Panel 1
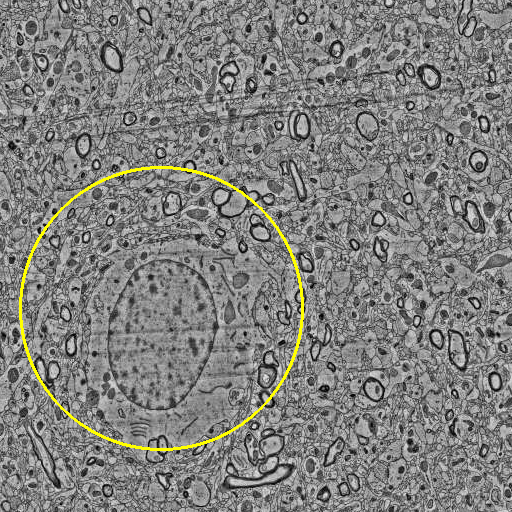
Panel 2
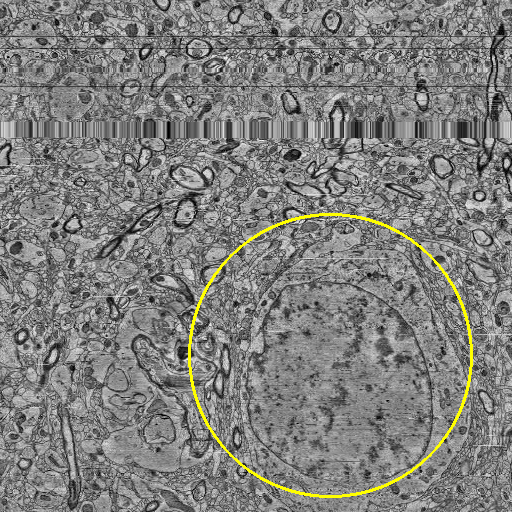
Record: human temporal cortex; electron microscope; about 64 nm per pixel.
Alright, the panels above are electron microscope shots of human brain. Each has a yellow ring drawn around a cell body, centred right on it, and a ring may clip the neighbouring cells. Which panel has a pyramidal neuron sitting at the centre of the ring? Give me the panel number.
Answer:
2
